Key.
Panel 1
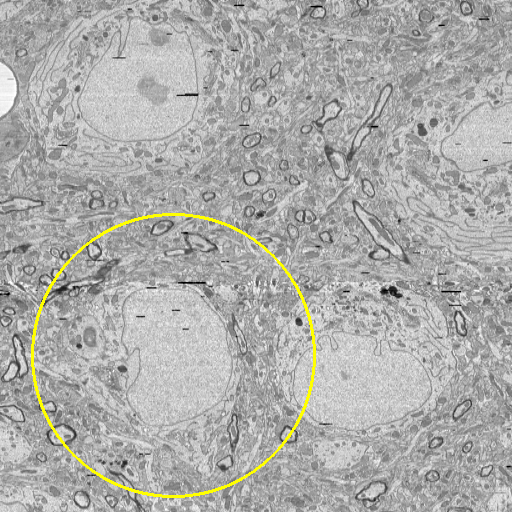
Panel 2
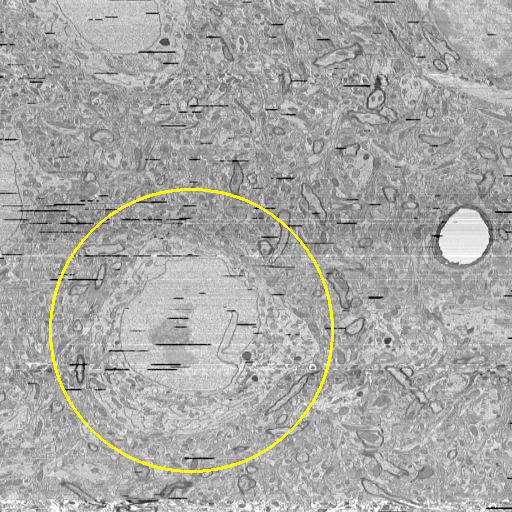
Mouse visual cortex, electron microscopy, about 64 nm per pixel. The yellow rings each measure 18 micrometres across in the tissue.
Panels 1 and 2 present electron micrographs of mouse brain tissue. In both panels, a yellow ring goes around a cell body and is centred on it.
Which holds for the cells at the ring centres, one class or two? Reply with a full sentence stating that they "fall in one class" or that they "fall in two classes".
Taken together, the ring-centre cells of the two panels fall in one class.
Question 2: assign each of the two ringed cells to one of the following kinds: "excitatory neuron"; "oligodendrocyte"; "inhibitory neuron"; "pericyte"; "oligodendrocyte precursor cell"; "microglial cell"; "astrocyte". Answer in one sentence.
The second cell is an inhibitory neuron, just as the first is.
